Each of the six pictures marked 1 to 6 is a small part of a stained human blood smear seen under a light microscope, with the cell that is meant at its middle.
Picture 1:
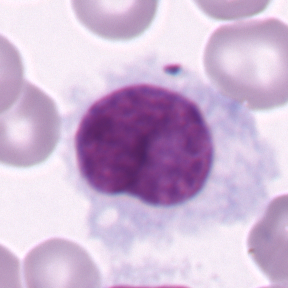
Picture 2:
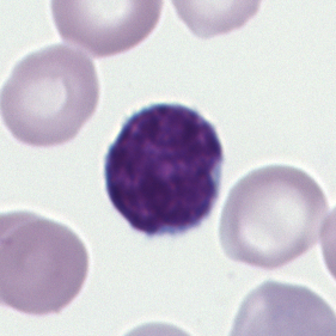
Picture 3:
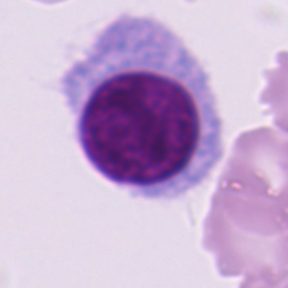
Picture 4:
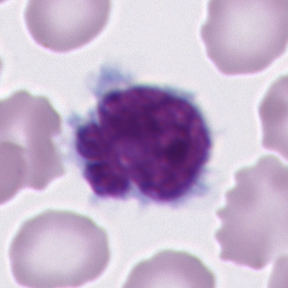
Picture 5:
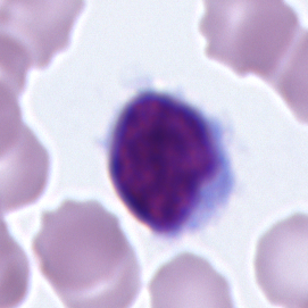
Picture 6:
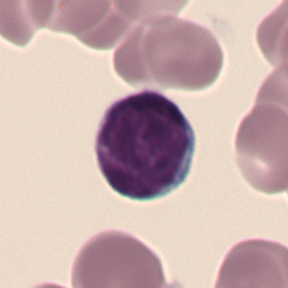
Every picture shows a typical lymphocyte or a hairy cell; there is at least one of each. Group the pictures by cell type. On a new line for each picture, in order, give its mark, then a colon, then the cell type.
1: hairy cell
2: typical lymphocyte
3: hairy cell
4: hairy cell
5: hairy cell
6: typical lymphocyte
